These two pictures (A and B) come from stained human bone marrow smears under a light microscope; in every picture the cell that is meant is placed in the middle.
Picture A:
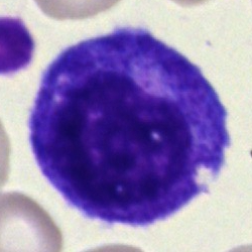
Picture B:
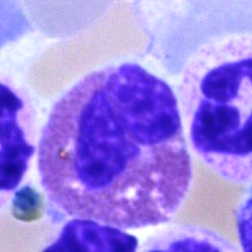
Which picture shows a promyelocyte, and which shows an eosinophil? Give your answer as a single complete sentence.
The cell in picture A is a promyelocyte, and the one in picture B is an eosinophil.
